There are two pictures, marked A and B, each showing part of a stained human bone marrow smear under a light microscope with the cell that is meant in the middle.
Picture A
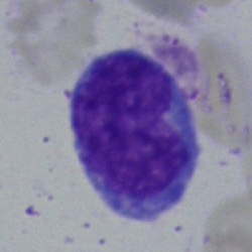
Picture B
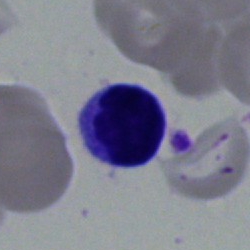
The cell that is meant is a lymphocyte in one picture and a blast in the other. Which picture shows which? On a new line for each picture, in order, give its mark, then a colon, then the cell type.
A: blast
B: lymphocyte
